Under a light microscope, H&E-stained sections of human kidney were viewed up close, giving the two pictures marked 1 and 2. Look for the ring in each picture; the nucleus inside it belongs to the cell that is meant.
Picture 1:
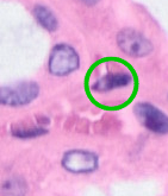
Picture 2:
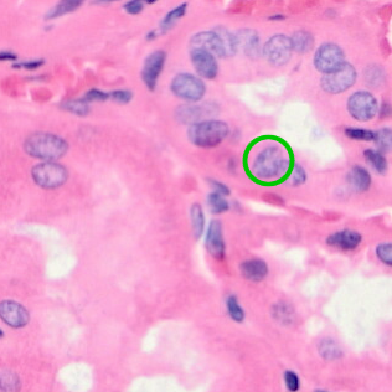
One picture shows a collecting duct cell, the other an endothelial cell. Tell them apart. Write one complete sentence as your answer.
In picture 1 the cell is an endothelial cell; in picture 2, a collecting duct cell.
